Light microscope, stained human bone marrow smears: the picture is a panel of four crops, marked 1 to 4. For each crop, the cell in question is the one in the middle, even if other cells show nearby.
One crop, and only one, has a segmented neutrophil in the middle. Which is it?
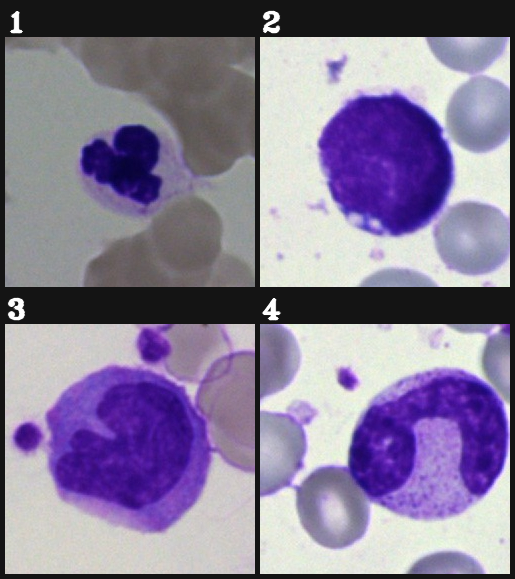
1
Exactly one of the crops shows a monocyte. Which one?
3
